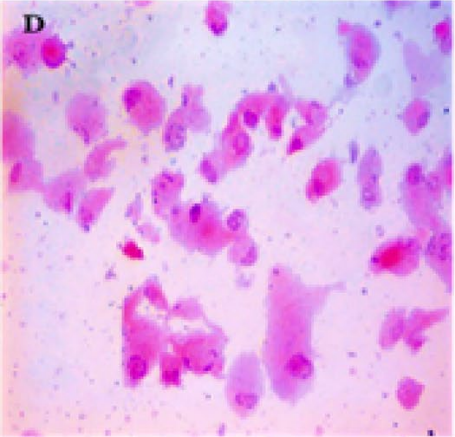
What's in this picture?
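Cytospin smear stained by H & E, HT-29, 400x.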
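The cells are large and polygonal or irregular in outline, with abundant pink cytoplasm. The nuclei are small relative to the cell body, so the cells look cytoplasm-rich. Cell borders are mostly distinct and the cytoplasm is fairly evenly stained.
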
